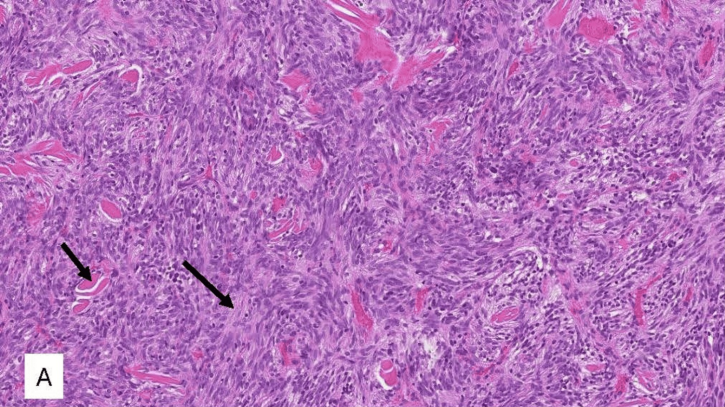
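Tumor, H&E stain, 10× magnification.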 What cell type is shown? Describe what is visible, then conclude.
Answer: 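Densely packed cells with elongated, tapering nuclei. Cells run in short bundles that cross one another in different directions. So: spindle cells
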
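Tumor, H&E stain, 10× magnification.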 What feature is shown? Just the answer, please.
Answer: Short fascicles.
